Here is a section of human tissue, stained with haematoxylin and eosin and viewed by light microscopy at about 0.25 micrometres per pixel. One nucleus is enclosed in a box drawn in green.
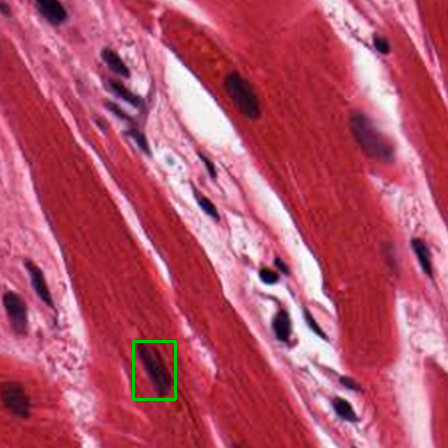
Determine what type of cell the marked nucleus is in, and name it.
cardiomyocyte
